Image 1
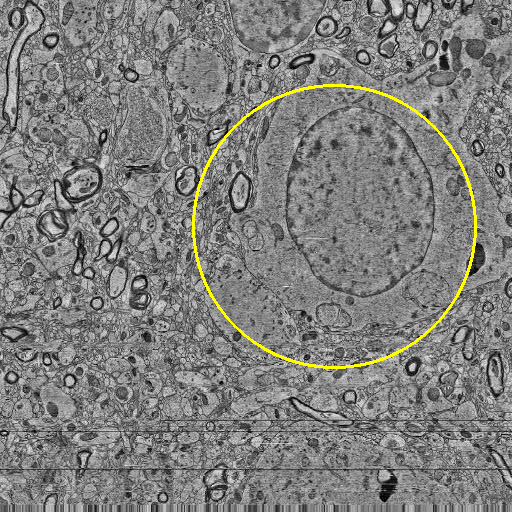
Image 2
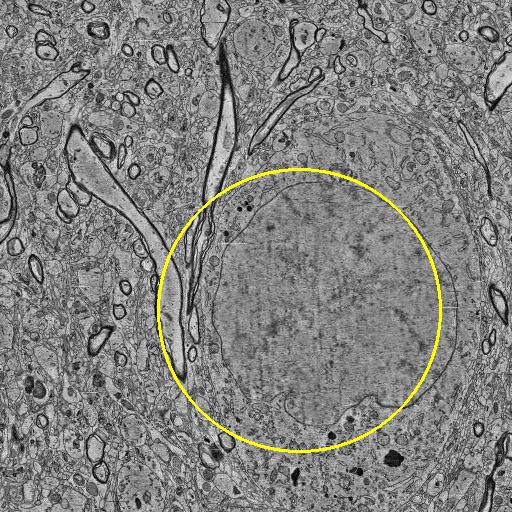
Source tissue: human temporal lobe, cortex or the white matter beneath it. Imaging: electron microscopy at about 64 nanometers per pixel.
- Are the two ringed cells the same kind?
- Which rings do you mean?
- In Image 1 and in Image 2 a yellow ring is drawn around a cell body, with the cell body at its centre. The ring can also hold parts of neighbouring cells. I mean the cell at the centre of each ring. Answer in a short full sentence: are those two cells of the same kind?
No, the cells are of two kinds.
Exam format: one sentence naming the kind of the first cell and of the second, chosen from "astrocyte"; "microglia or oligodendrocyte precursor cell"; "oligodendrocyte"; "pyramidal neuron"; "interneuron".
The first picture's cell is an astrocyte, and the second picture's cell is a pyramidal neuron.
